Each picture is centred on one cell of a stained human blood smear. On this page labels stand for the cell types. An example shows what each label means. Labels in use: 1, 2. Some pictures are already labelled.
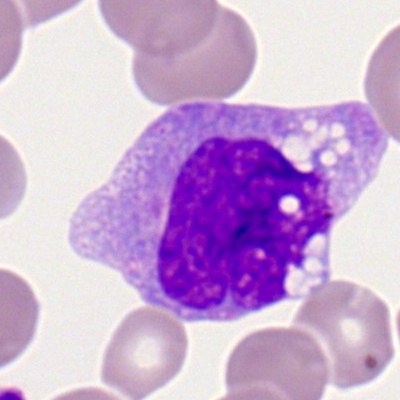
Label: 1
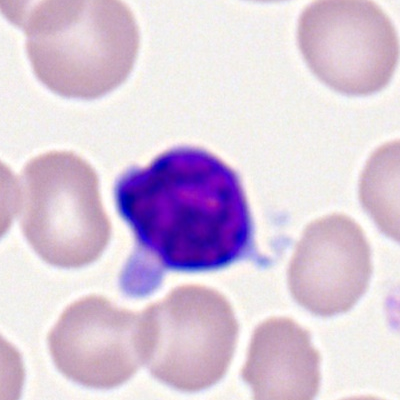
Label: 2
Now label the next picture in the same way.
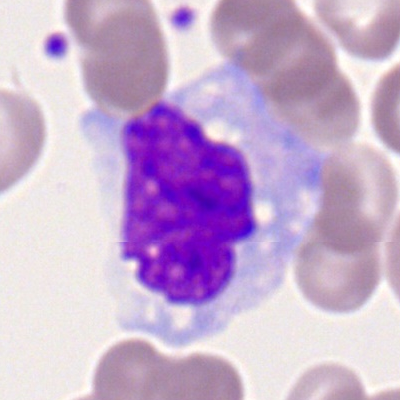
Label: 1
